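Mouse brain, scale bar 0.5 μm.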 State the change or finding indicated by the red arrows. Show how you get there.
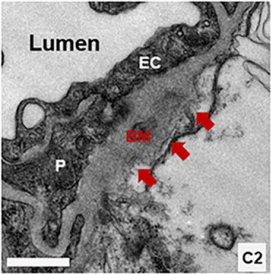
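Bulges. The grey layer outside the endothelial cell is widened into a broad, pale mass. Its outer edge bulges outward irregularly where the arrows point.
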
